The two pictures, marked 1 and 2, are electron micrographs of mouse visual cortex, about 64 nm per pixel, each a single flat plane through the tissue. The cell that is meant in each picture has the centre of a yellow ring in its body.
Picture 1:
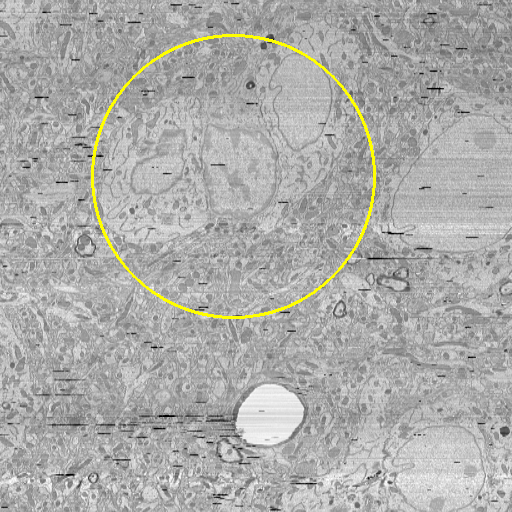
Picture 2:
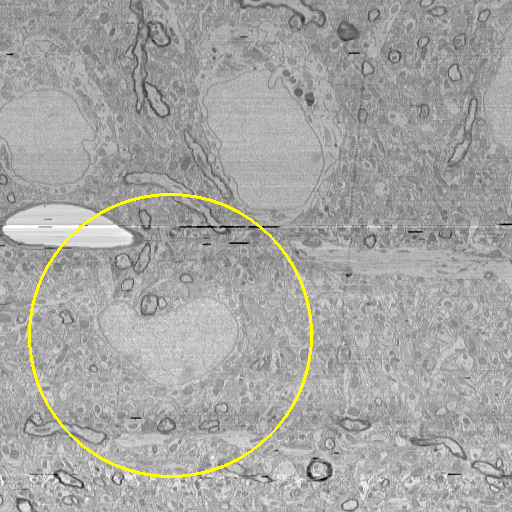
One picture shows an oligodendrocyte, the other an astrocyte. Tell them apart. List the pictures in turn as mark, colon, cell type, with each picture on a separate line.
1: oligodendrocyte
2: astrocyte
